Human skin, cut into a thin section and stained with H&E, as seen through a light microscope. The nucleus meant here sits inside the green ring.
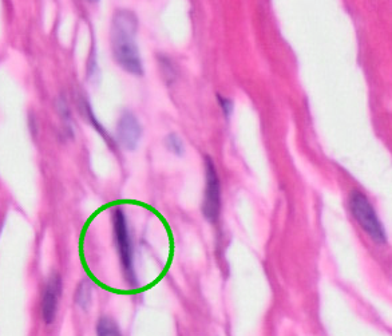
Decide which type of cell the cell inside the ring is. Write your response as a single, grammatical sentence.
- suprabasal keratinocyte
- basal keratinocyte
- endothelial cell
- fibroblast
Typologically, the cell inside the ring is an endothelial cell in this section.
